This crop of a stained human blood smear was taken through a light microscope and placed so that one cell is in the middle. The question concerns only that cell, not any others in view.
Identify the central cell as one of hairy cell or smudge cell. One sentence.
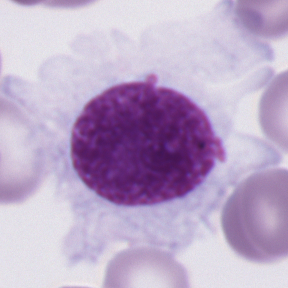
What sits at the centre of this crop is a hairy cell.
